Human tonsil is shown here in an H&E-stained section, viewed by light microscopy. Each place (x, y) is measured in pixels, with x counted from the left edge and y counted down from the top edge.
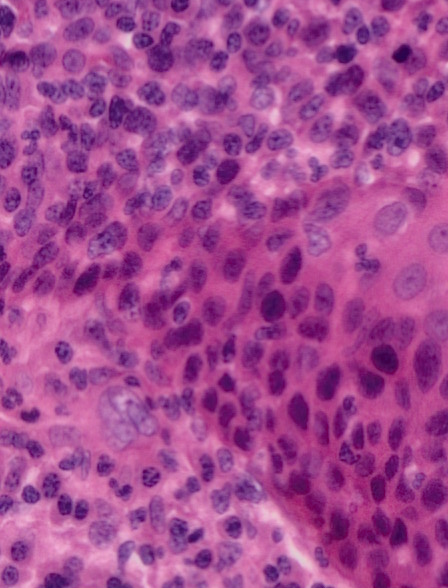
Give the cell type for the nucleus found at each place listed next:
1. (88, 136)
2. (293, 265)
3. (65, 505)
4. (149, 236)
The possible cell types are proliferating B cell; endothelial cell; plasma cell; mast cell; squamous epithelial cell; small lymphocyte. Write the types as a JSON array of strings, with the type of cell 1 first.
["squamous epithelial cell", "squamous epithelial cell", "plasma cell", "squamous epithelial cell"]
